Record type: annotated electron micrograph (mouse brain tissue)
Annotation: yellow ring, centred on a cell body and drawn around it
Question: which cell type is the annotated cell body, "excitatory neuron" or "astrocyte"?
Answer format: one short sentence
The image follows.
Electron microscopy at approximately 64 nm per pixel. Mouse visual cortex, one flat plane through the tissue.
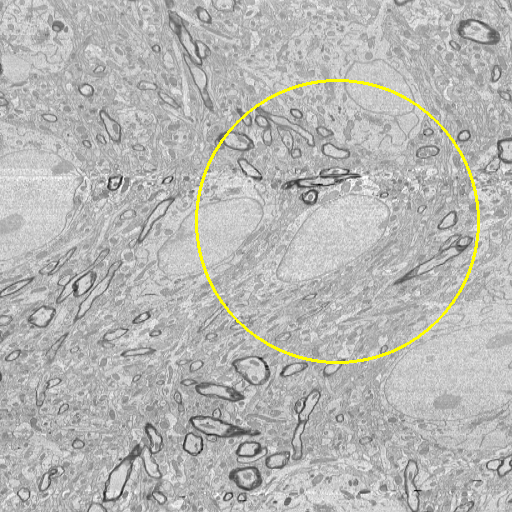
The annotated cell body is that of an astrocyte.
